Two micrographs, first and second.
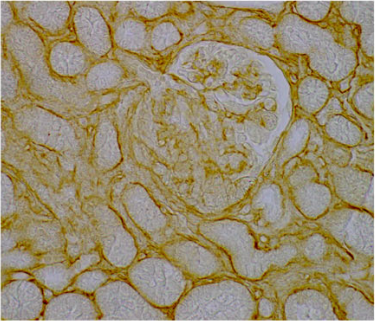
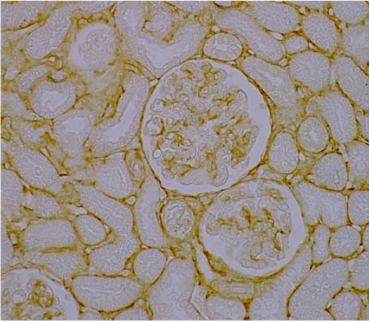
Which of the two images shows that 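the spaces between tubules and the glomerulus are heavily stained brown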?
The first image.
